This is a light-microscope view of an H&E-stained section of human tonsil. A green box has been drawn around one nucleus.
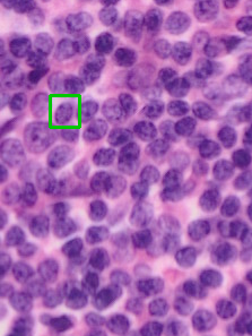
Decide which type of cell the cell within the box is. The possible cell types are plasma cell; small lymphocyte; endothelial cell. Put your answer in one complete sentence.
Labelled by cell type, the cell within the box is a small lymphocyte.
